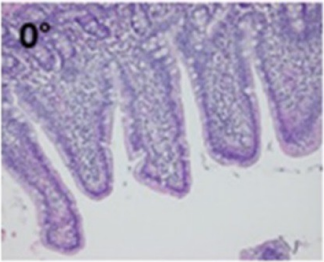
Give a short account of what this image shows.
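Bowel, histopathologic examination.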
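This is small intestinal mucosa with a row of long, slender villi projecting into the lumen. Each villus is covered by a continuous single layer of columnar epithelium with purple nuclei lined up along it. The villus cores contain loosely packed connective tissue with scattered cells. The surfaces are smooth and the epithelium lies close against the core along the whole length.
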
